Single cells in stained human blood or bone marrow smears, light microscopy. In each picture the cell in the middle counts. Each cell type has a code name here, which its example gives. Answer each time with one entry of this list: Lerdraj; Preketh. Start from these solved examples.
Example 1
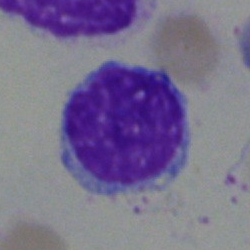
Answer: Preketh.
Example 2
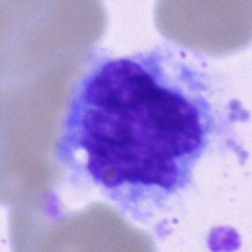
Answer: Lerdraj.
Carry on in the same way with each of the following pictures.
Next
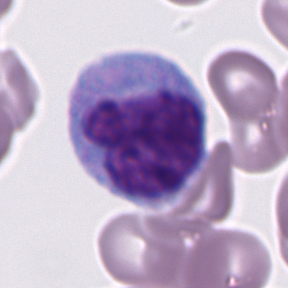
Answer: Lerdraj.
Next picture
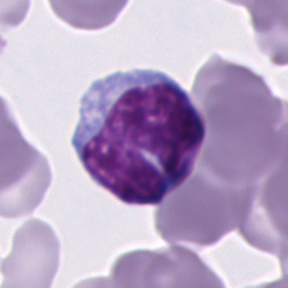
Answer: Preketh.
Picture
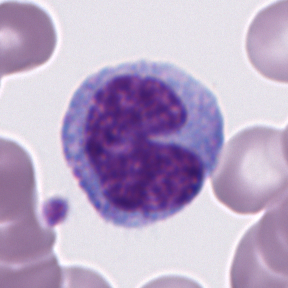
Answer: Lerdraj.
